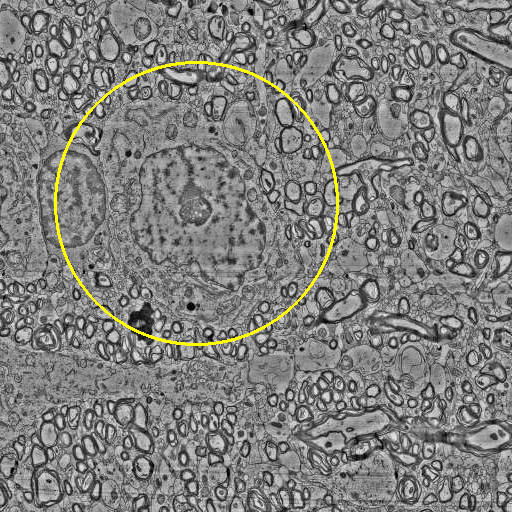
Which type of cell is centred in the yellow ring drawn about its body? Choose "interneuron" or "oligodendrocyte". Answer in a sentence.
The yellow ring surrounds the cell body of an interneuron.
